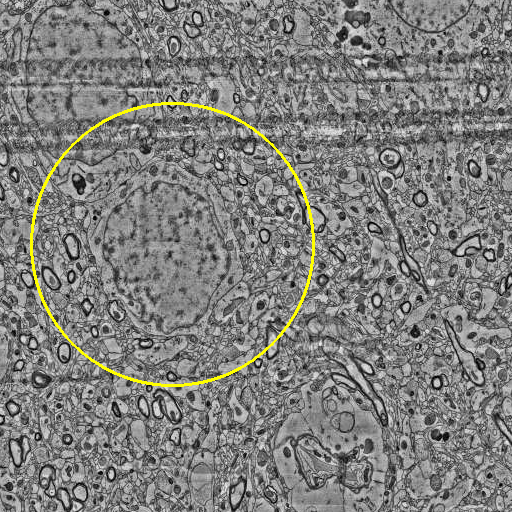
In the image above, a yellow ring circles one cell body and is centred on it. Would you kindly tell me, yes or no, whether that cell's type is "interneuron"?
yes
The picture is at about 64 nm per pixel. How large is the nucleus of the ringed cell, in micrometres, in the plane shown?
In this plane the nucleus measures roughly 9 by 8 micrometres.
